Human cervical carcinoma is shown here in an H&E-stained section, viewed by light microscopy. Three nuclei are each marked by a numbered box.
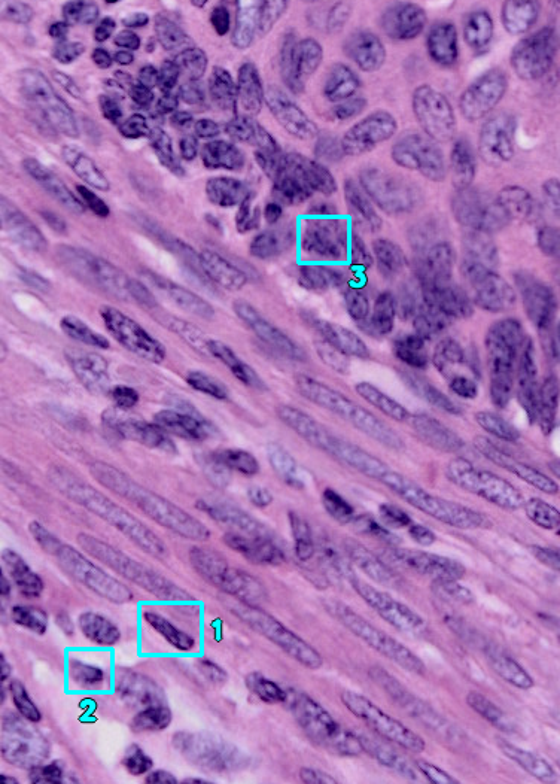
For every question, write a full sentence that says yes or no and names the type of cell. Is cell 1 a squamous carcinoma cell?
No, the cell that carries number 1 is a lymphocyte, not a squamous carcinoma cell.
